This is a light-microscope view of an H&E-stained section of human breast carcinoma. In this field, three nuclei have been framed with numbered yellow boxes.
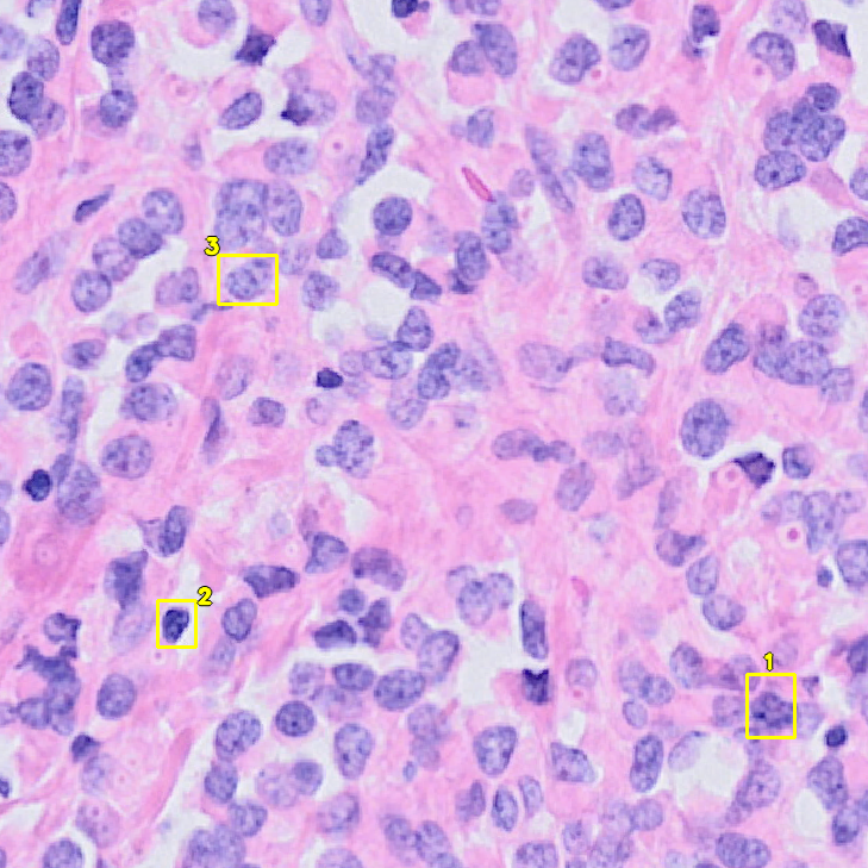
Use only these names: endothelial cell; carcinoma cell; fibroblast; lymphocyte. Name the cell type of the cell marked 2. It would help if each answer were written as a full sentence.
The correct answer for cell 2 is a lymphocyte.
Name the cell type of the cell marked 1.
Of the numbered cells, the one labelled 1 is a carcinoma cell.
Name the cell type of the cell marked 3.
Number 3 among the marked cells is a carcinoma cell.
